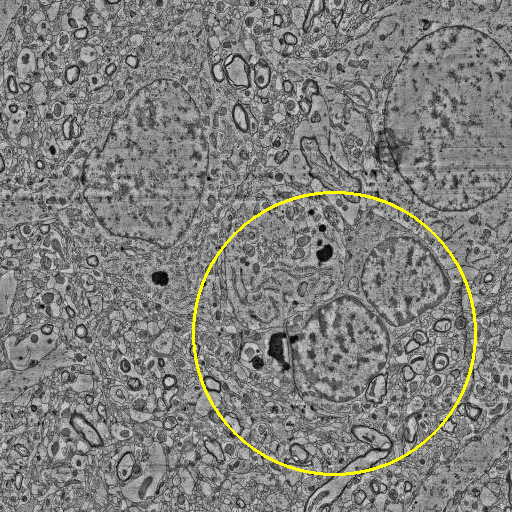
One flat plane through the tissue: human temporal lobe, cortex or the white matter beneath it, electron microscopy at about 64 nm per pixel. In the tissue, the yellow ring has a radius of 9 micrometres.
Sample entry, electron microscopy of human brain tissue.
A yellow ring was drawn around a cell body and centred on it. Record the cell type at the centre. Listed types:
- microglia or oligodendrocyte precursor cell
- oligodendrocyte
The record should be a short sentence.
The cell at the ring's centre is an oligodendrocyte.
